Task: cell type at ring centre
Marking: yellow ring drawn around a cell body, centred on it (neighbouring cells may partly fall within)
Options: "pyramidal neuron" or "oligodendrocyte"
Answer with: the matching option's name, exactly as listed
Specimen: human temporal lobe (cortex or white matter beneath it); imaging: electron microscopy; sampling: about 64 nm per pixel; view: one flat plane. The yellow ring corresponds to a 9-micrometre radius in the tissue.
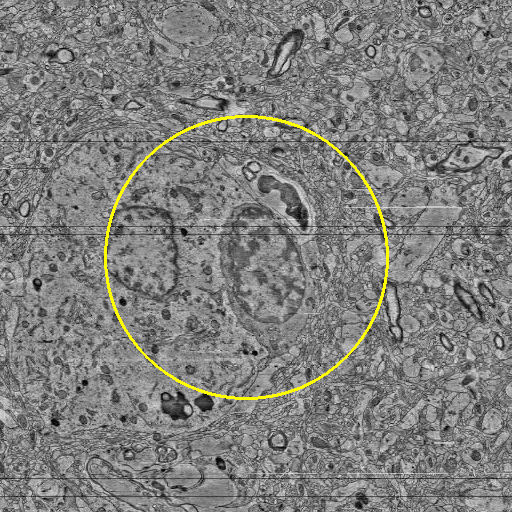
oligodendrocyte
